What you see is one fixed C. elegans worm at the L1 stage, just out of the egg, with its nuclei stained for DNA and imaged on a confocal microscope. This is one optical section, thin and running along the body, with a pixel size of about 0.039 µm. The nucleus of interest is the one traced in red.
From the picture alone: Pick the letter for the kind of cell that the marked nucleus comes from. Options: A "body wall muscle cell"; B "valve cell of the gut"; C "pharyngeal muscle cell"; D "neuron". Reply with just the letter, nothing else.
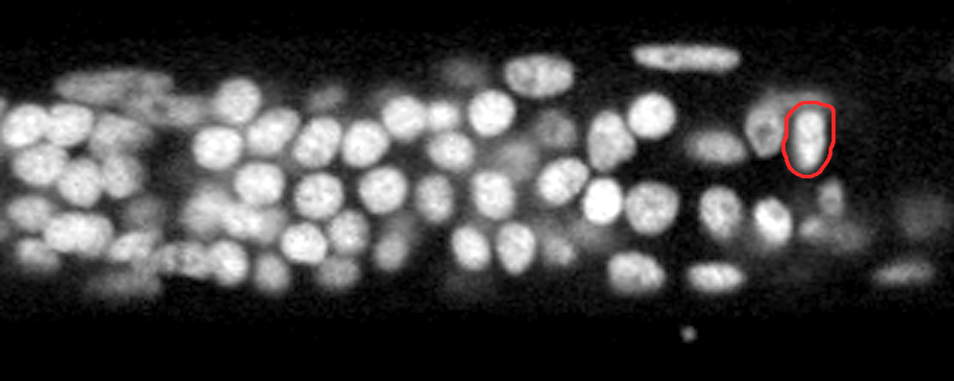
B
